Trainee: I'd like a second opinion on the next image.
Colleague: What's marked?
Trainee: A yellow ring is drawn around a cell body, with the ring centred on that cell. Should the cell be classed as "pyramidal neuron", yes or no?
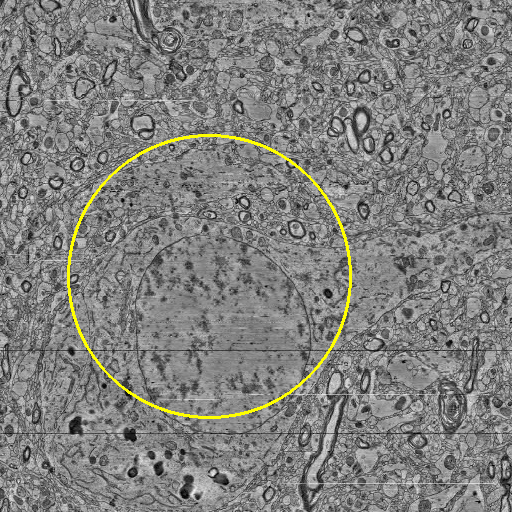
Yes, it should.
